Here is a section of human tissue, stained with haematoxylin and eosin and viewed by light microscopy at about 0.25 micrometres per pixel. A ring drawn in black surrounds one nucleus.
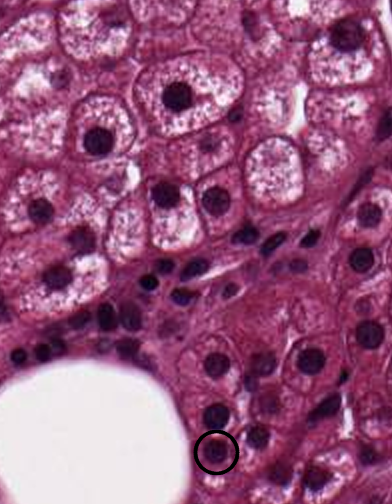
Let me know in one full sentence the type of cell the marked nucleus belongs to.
On this slide, the marked nucleus belongs to an adrenal cortical cell.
